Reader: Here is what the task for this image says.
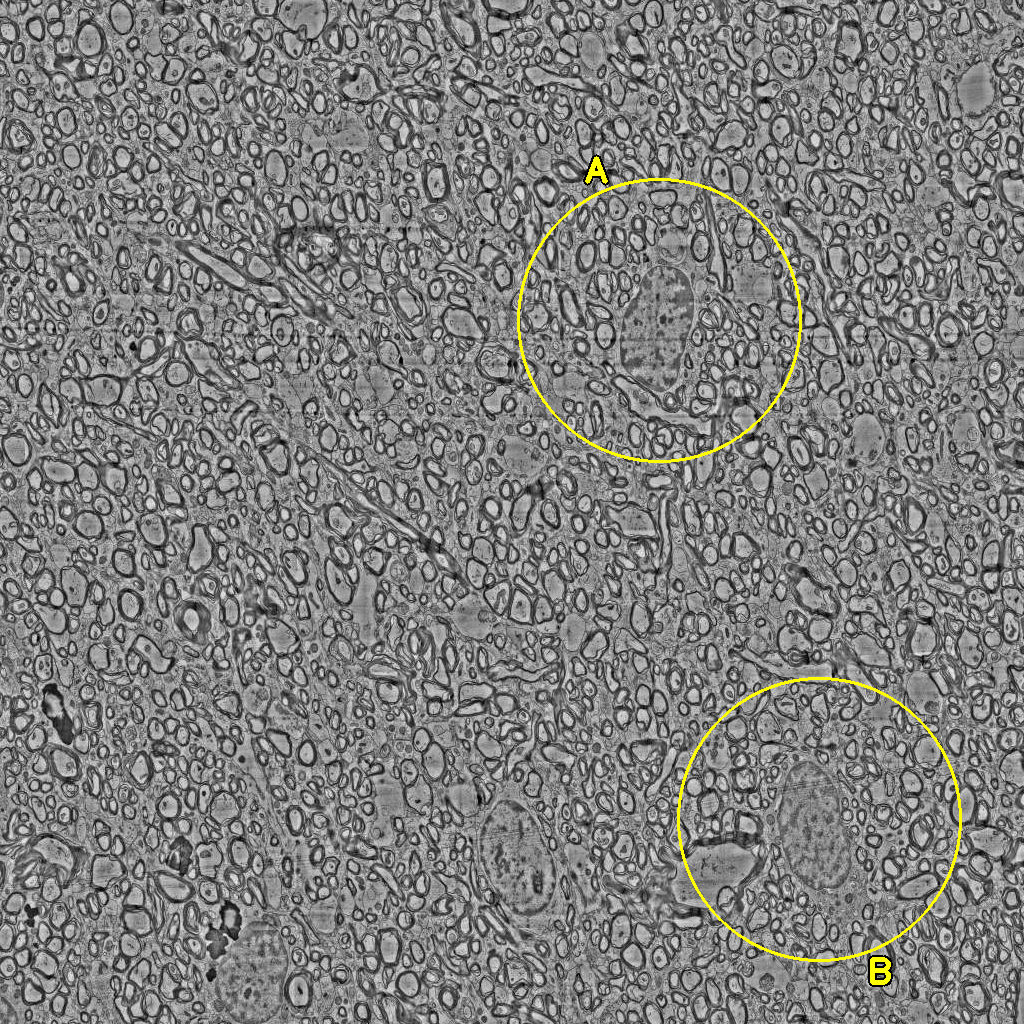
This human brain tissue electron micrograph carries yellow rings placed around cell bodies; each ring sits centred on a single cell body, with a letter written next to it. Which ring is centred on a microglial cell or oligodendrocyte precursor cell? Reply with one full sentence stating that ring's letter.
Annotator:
Letter A marks the ring whose centre holds the cell asked for.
